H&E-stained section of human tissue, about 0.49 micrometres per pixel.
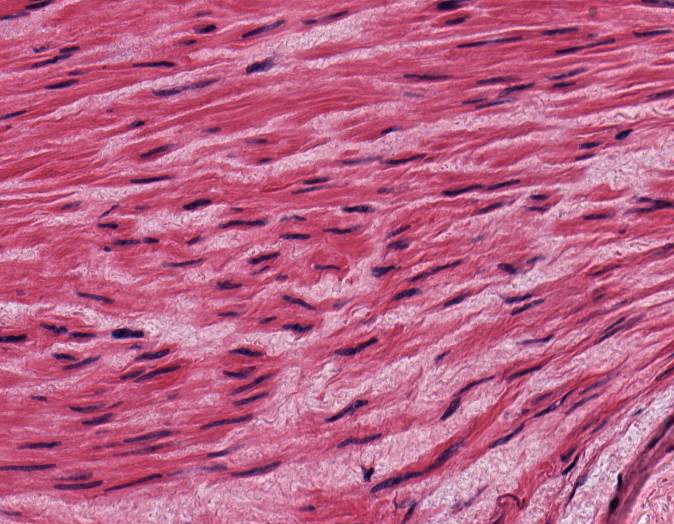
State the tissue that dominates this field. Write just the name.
tunica media of an artery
